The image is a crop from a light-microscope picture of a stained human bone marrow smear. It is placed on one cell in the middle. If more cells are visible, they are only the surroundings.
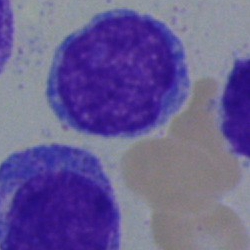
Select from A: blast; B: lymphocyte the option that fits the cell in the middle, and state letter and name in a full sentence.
The best answer is option A, since the cell in the middle is a blast.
